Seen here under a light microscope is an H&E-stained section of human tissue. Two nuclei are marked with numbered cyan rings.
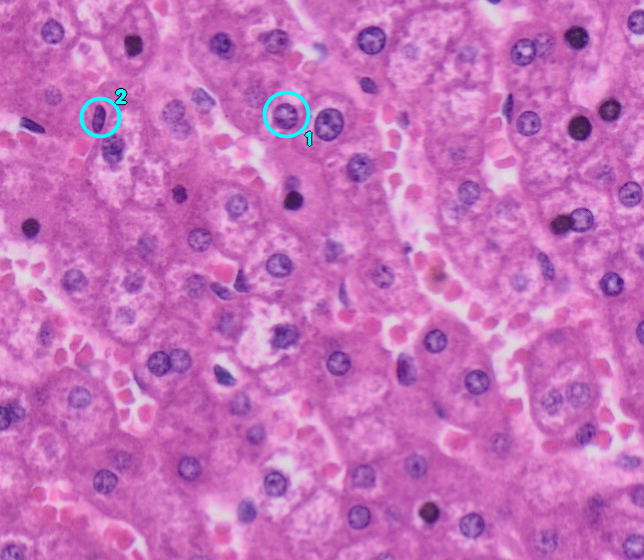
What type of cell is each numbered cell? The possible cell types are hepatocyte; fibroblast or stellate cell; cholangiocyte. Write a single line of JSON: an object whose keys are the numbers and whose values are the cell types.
{"1": "hepatocyte", "2": "fibroblast or stellate cell"}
